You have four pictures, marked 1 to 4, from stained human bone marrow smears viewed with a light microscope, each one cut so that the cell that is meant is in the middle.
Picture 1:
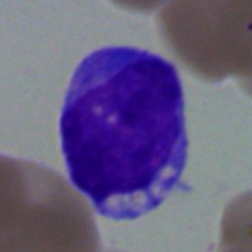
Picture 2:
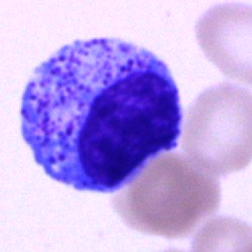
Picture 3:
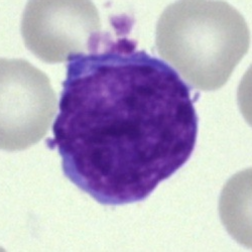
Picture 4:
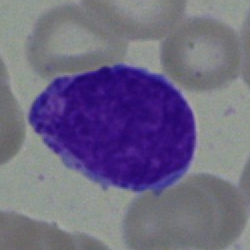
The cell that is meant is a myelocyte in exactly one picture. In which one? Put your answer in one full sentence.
It is picture 2 that shows the myelocyte.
